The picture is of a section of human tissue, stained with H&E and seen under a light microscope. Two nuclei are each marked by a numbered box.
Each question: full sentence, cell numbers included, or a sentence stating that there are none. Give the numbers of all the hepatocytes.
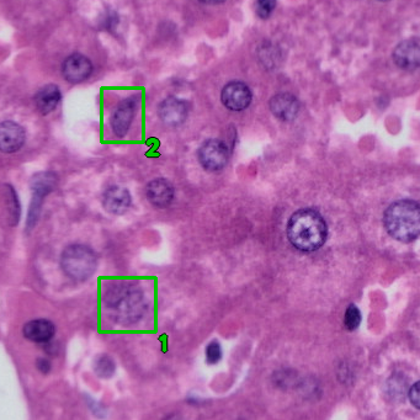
Mind that only cell 1 is a hepatocyte, none of the rest.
